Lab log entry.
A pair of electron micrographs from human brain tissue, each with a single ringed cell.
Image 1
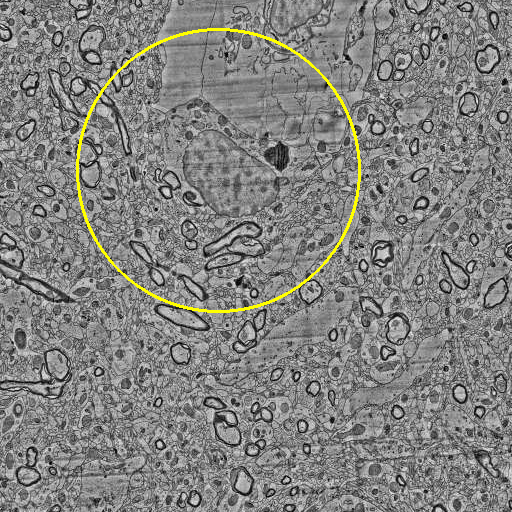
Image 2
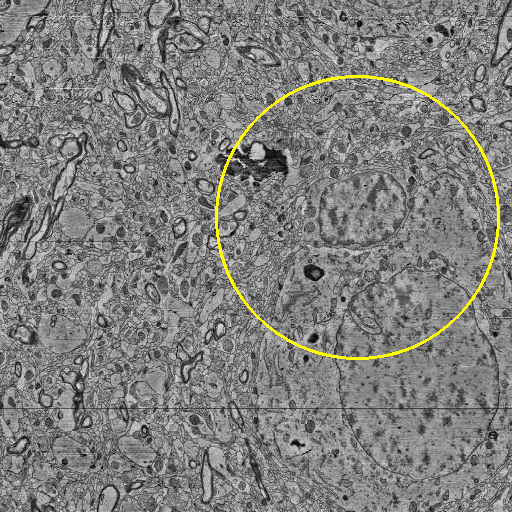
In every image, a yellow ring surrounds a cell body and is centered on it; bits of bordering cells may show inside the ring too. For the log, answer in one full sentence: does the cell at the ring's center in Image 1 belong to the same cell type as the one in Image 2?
Yes, the cells at the ring centers in Image 1 and Image 2 share one type.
